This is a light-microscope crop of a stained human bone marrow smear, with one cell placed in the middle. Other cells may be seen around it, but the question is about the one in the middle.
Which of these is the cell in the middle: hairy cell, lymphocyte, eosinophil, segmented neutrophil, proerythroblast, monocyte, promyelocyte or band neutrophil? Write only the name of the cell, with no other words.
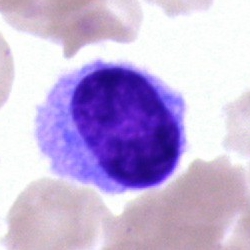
hairy cell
